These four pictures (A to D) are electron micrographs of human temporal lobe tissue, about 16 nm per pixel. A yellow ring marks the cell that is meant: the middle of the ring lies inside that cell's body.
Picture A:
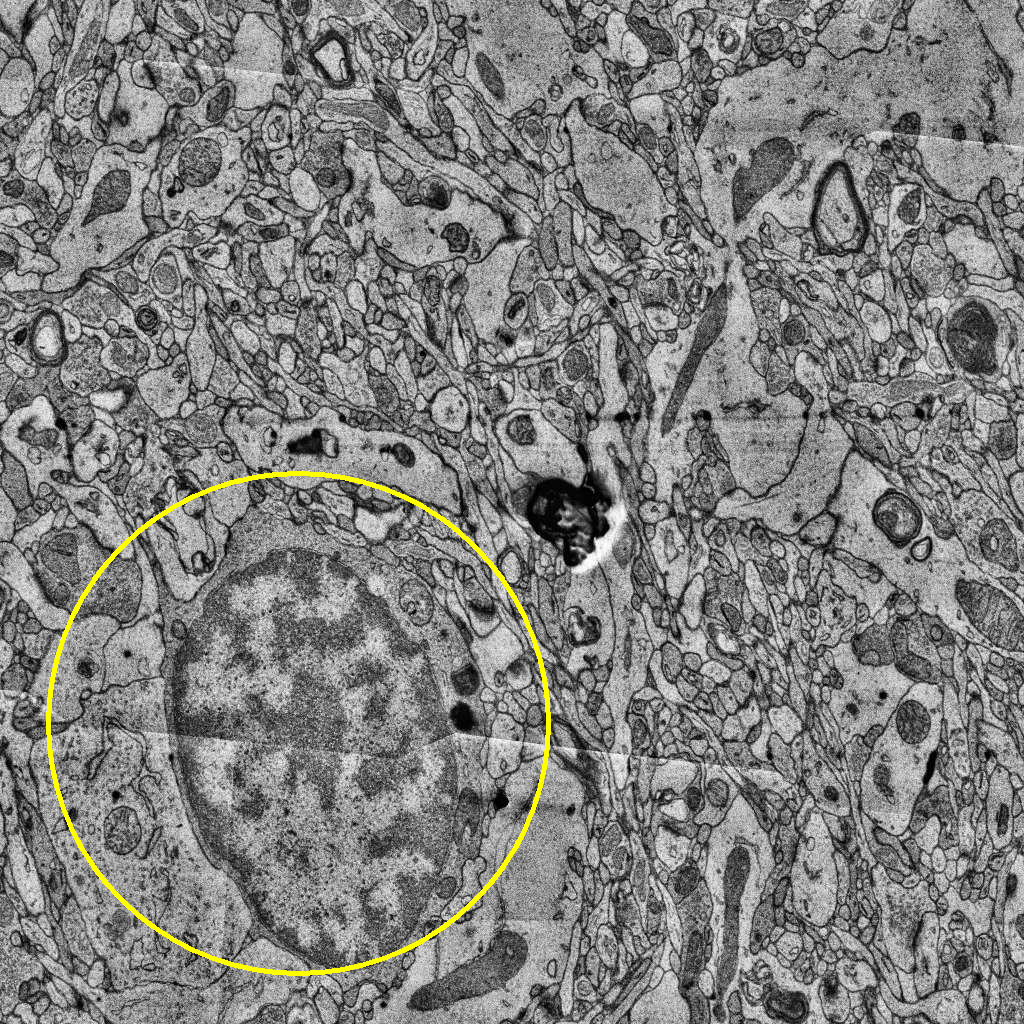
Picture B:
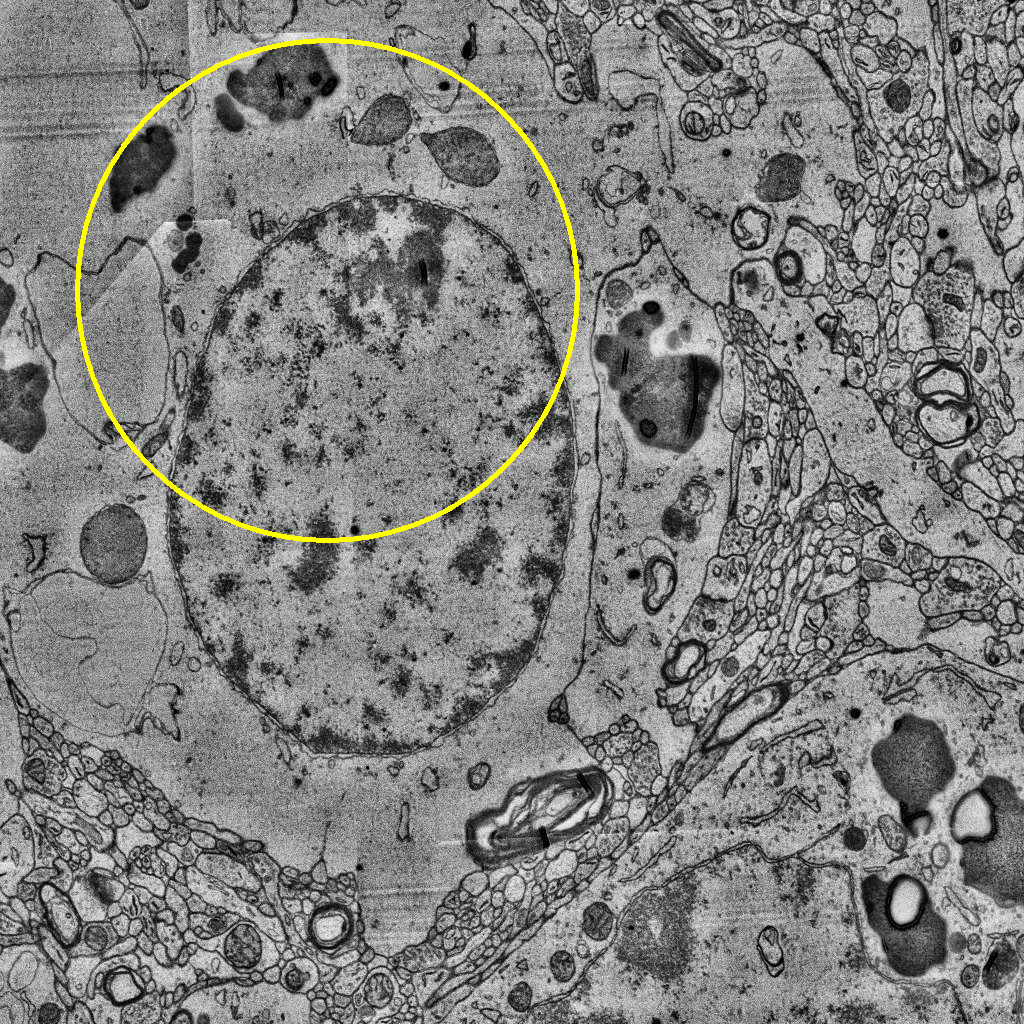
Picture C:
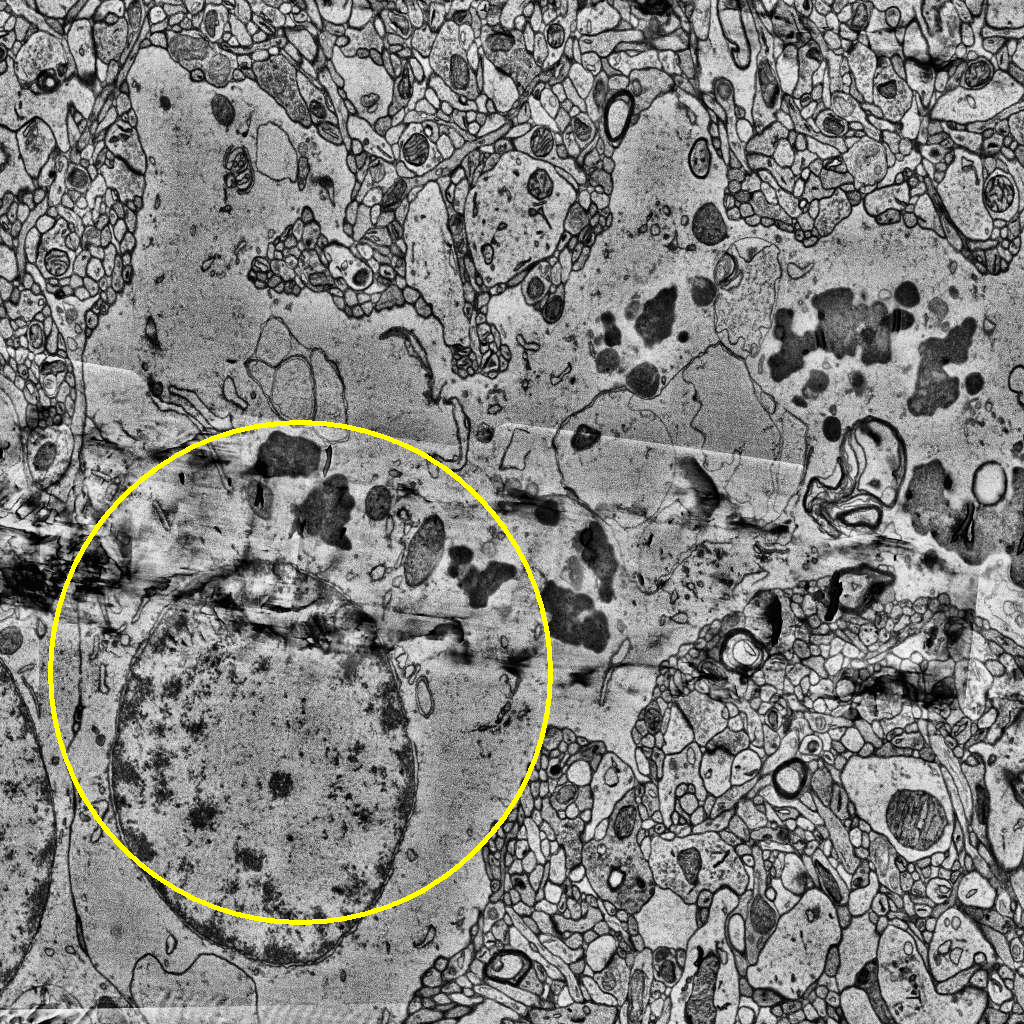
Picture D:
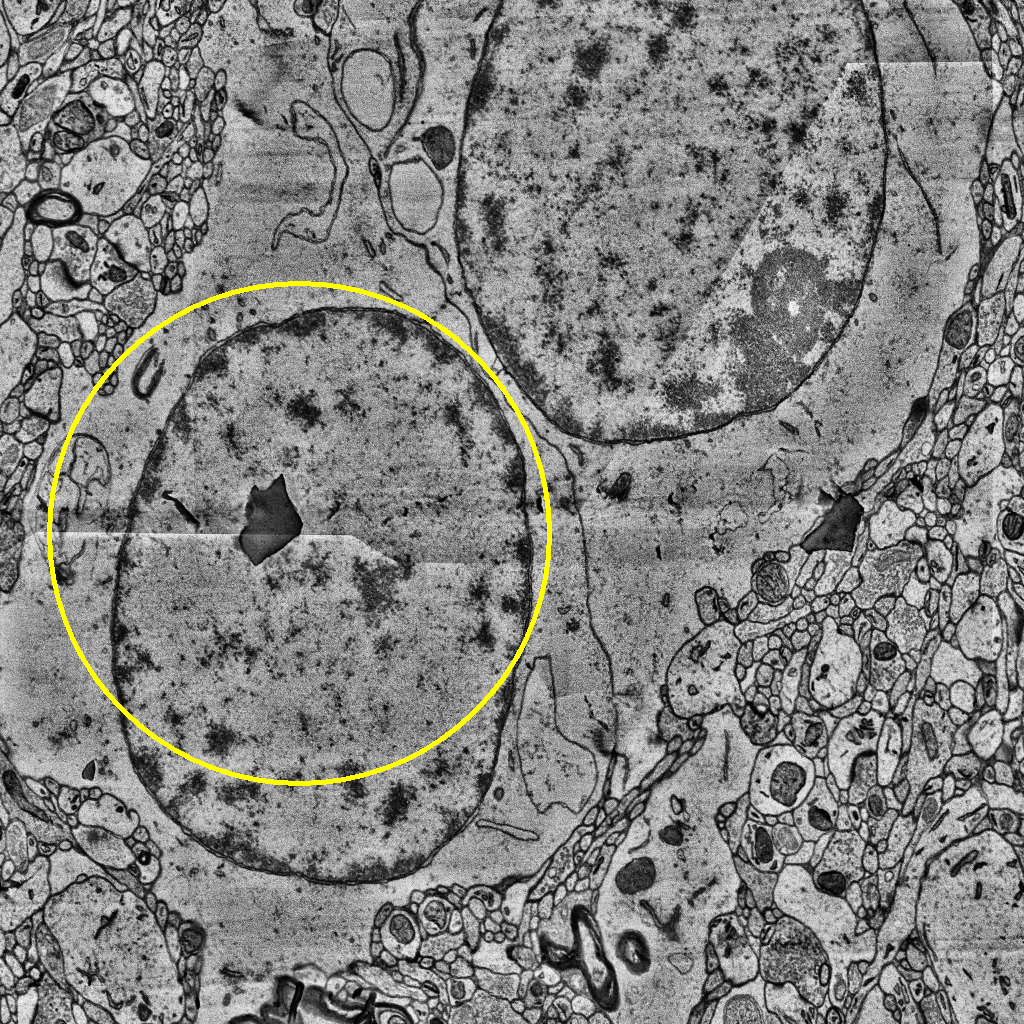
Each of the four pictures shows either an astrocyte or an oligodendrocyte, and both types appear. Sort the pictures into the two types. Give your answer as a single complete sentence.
Pictures B, C and D show astrocytes, while picture A shows an oligodendrocyte.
